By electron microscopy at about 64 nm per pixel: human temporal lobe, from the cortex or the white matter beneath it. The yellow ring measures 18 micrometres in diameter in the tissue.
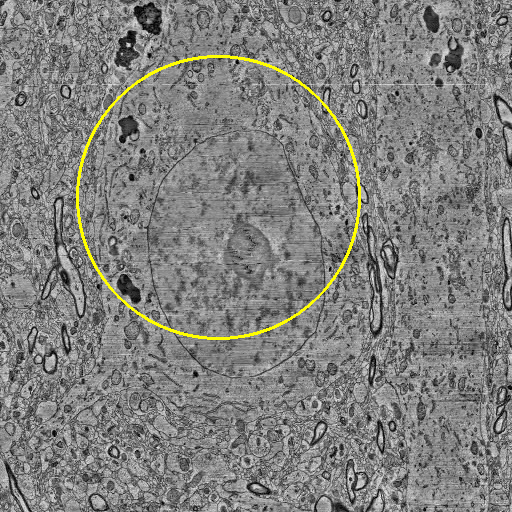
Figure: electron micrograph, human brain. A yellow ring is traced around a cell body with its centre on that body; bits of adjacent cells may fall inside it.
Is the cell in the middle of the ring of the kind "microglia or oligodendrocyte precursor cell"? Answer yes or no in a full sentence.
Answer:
No, another kind applies to the cell centred within the yellow ring of the picture.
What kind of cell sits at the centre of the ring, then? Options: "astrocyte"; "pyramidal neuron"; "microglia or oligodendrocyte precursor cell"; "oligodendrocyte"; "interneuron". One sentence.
This picture has a pyramidal neuron at the centre of its ring.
